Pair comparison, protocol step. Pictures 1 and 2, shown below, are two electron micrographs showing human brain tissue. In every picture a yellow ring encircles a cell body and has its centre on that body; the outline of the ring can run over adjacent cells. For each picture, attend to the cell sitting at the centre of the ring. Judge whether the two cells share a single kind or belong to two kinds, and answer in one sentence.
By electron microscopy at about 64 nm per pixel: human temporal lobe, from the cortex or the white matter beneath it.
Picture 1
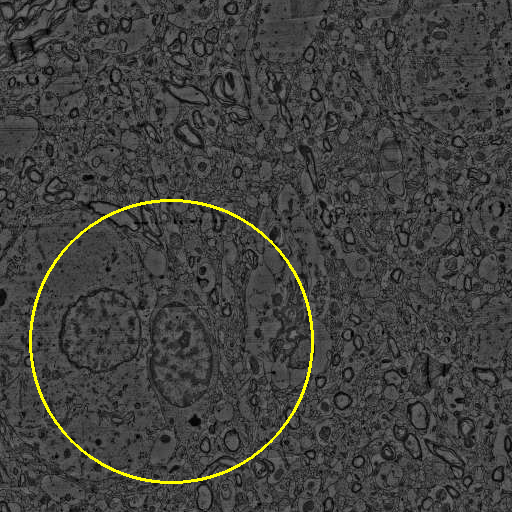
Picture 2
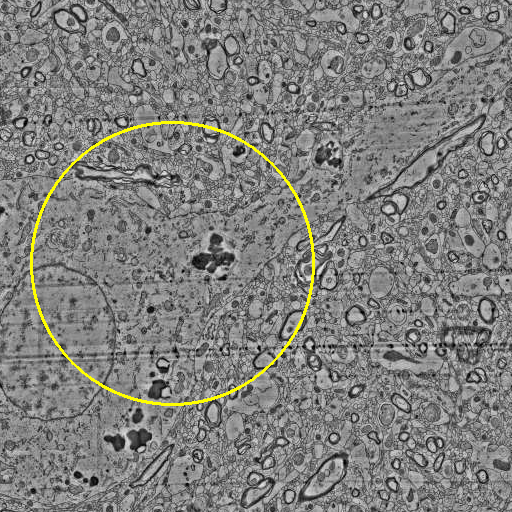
The two cells at the ring centres in Picture 1 and Picture 2 share a single kind.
